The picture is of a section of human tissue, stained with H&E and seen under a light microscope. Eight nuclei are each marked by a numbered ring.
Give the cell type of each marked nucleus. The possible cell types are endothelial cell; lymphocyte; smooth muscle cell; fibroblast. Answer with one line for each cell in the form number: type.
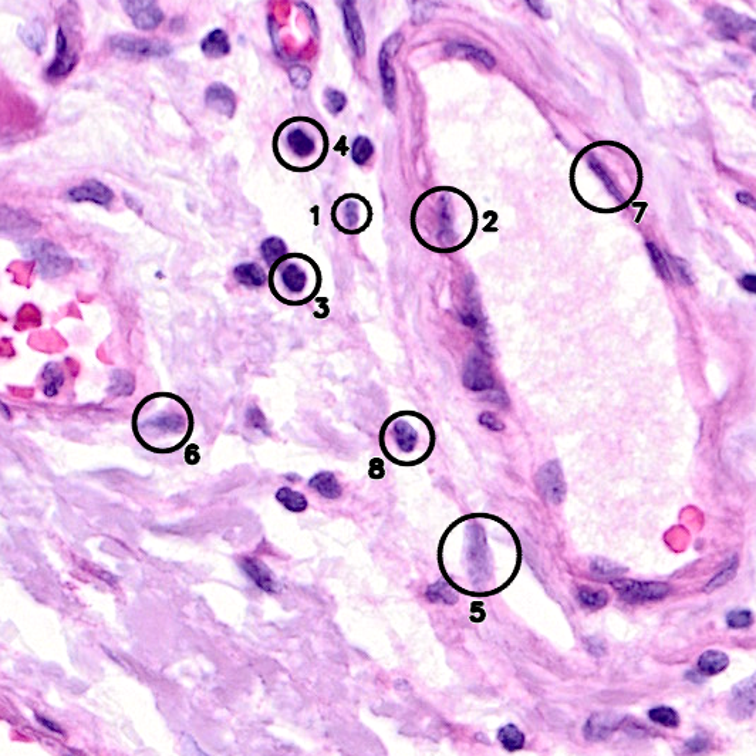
1: lymphocyte
2: endothelial cell
3: lymphocyte
4: lymphocyte
5: fibroblast
6: fibroblast
7: endothelial cell
8: lymphocyte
